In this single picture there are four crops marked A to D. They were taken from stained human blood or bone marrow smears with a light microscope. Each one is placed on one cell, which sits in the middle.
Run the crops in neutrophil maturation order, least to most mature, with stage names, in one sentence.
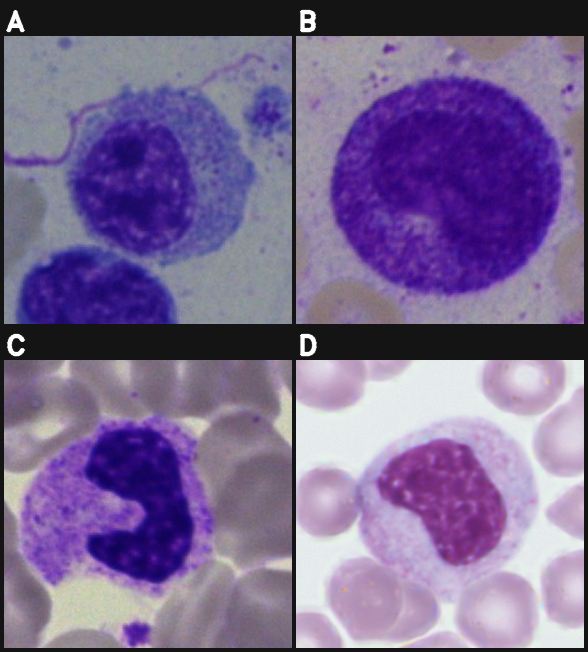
From the least mature to the most mature, the sequence runs crop B (a promyelocyte), crop A (a myelocyte), crop D (a metamyelocyte) and crop C (a band neutrophil).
